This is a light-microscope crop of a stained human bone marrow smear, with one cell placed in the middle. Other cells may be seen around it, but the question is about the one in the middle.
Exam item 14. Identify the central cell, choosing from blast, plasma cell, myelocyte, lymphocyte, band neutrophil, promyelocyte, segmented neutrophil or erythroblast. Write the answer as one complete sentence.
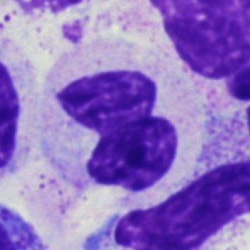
The cell of interest, in the center, is a segmented neutrophil.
